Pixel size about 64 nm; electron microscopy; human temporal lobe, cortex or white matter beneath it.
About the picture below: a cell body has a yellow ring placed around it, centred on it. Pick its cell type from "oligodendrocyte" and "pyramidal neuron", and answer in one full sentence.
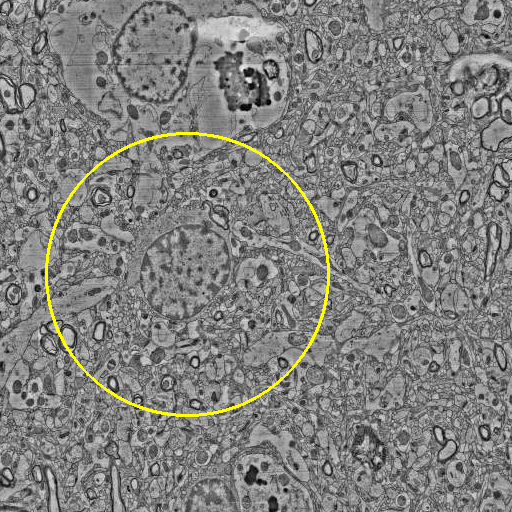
In the picture, an oligodendrocyte is the cell sitting at the centre of the yellow ring.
